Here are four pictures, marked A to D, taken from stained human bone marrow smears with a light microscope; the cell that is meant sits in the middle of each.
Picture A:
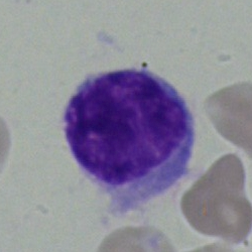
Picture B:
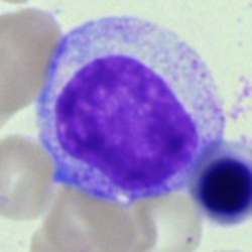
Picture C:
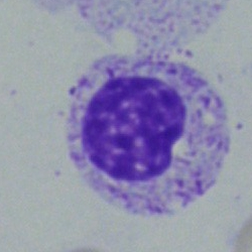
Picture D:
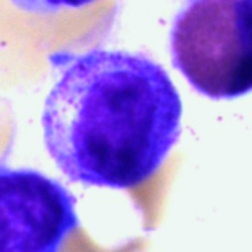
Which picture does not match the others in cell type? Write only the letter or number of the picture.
A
